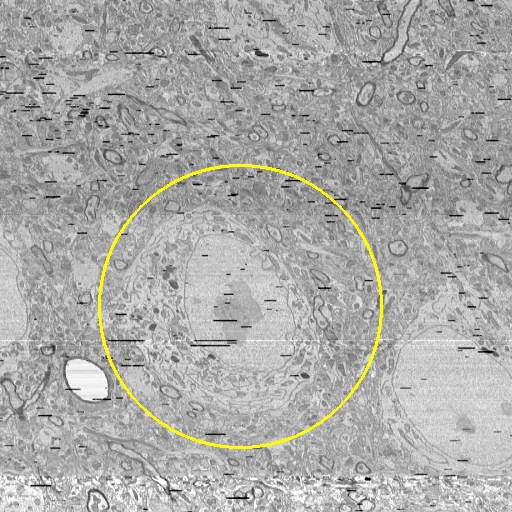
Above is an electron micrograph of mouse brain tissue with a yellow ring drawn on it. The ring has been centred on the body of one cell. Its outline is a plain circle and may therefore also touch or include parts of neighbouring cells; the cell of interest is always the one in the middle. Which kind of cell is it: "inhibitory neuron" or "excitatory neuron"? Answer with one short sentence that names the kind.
The ring's central cell body is that of an inhibitory neuron.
